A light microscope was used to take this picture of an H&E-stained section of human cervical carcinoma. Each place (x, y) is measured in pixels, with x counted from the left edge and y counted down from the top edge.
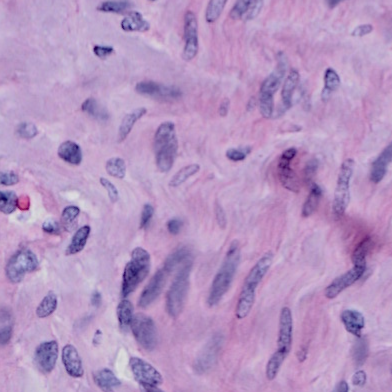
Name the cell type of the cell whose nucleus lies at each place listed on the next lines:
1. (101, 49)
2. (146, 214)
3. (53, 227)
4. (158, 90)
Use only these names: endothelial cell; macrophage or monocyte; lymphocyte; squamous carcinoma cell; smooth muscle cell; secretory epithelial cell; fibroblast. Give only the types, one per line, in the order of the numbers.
fibroblast
fibroblast
endothelial cell
fibroblast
